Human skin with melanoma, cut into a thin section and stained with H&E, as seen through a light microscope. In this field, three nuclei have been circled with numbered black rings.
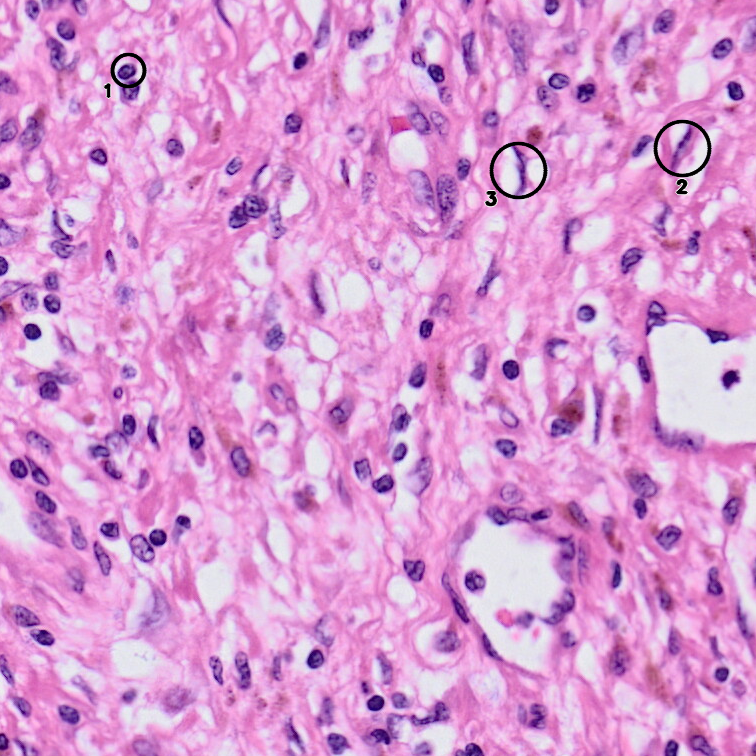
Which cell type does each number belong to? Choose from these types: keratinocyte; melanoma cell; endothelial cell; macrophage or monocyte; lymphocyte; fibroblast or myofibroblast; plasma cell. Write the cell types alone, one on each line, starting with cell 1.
lymphocyte
fibroblast or myofibroblast
fibroblast or myofibroblast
